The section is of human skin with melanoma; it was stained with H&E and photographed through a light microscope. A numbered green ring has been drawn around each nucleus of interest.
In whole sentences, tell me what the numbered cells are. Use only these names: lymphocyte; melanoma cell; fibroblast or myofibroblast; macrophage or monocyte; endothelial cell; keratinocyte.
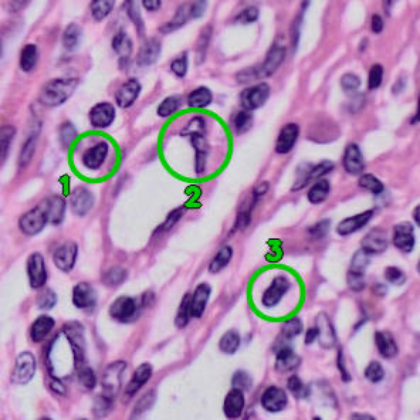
Cells 1 and 3 are lymphocytes. Cell 2 is an endothelial cell.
